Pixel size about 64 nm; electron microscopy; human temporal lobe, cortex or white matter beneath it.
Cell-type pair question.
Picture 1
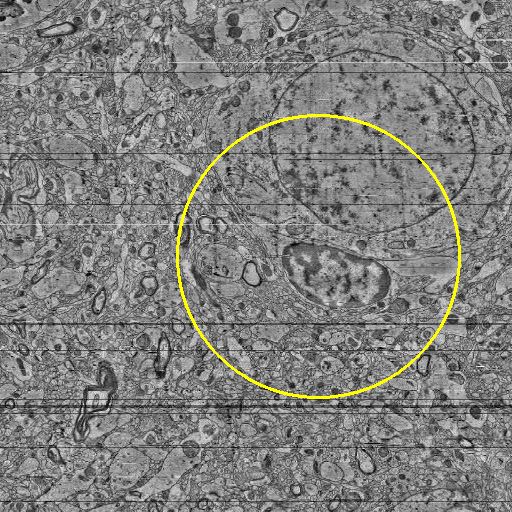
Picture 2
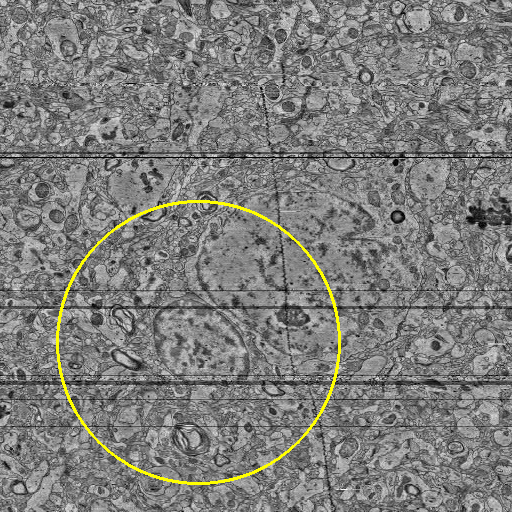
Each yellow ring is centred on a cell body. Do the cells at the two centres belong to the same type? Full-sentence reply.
No, the two cells belong to two types.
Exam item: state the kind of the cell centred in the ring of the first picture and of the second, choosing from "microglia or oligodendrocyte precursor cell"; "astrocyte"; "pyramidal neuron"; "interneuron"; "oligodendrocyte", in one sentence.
The first picture shows a microglial cell or oligodendrocyte precursor cell at the ring centre and the second shows an oligodendrocyte.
